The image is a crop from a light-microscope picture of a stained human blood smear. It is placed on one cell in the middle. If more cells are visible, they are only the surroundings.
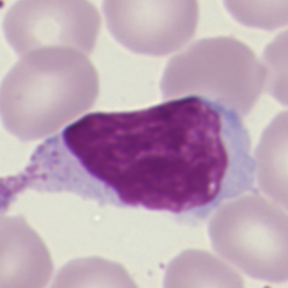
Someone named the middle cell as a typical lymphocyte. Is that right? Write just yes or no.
no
